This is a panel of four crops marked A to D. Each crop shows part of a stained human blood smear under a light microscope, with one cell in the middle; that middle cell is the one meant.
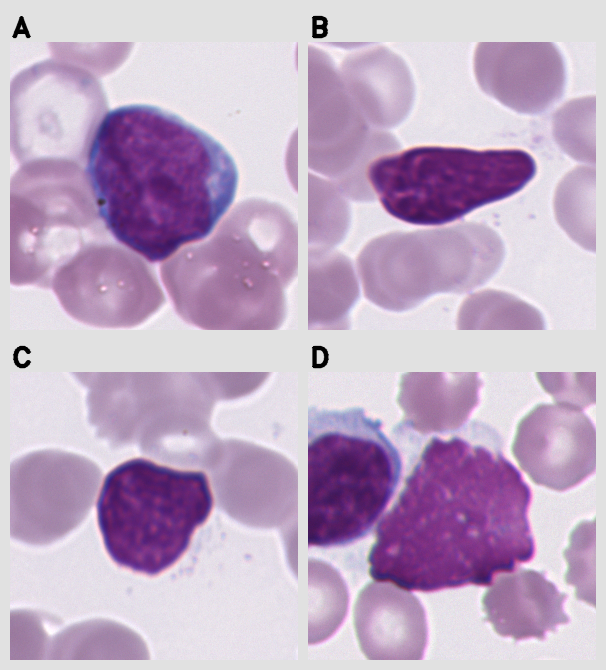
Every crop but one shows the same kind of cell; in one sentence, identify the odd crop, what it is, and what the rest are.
In crop A the central cell is a myeloblast, whereas the other crops all contain smudge cells.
